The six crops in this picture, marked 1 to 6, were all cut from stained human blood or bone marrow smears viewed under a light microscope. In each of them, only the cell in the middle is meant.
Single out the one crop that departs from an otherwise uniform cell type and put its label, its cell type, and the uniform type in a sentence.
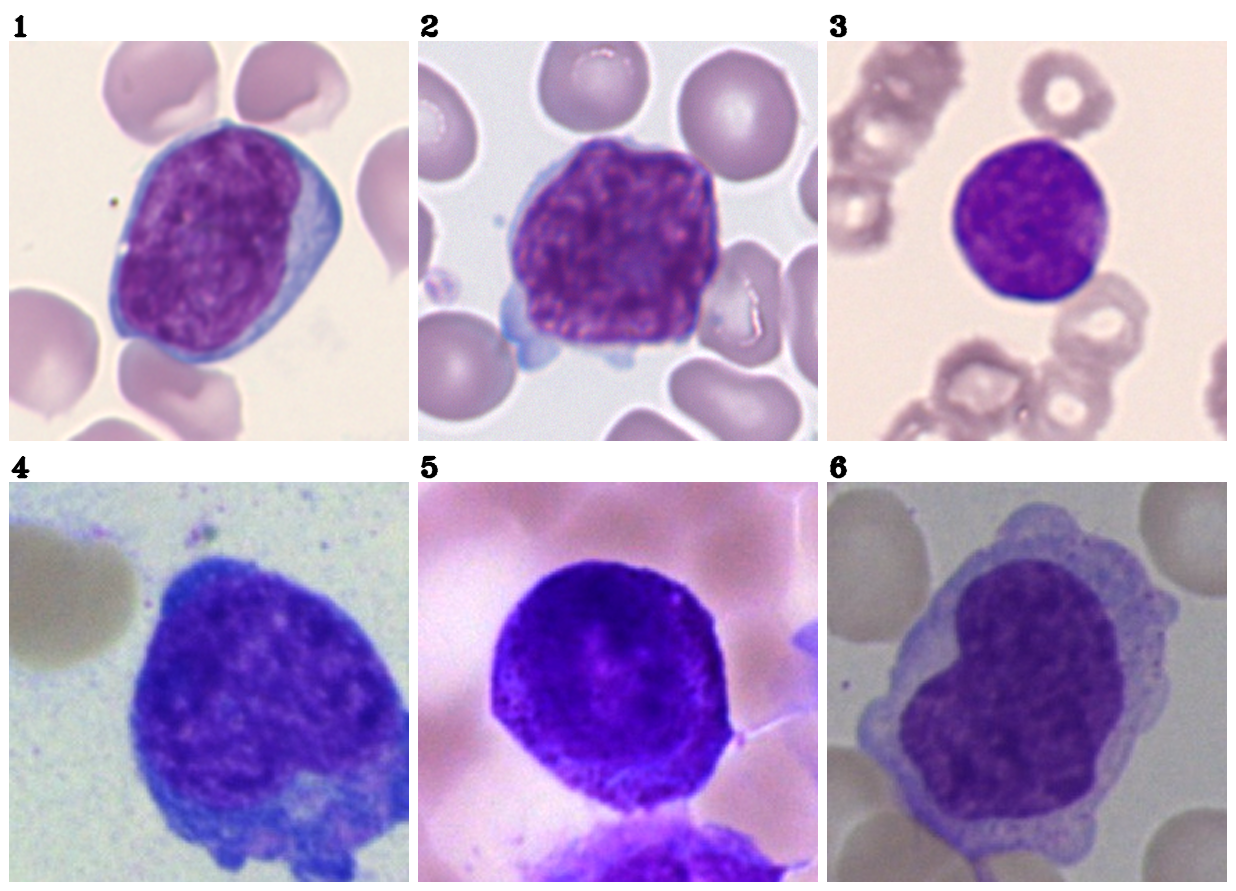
Crop 6 is not like the others: it is a monocyte, and they are blasts.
